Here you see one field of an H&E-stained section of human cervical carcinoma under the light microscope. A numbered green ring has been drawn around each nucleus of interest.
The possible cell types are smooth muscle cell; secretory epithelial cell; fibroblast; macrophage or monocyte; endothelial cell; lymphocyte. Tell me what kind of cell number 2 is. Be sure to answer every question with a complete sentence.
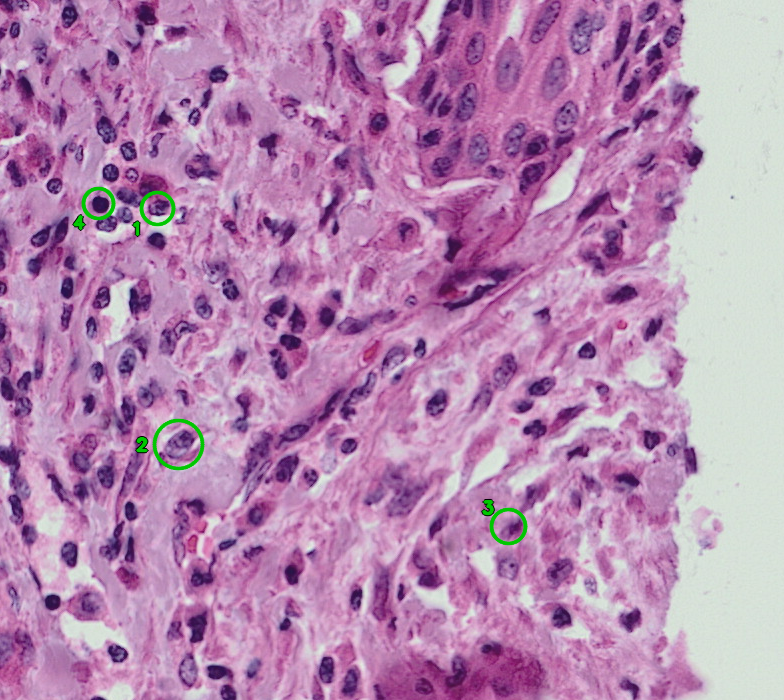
In the marked set, the cell given number 2 is a macrophage or monocyte.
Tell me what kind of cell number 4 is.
The cell that goes by number 4 is a lymphocyte.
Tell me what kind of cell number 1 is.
The nucleus with number 1 is that of a lymphocyte.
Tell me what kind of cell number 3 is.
Number 3 among the marked cells is a fibroblast.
